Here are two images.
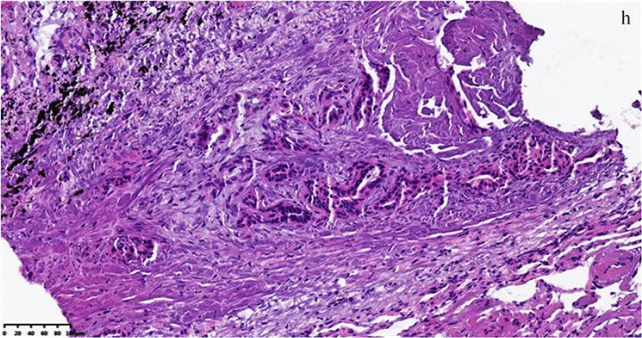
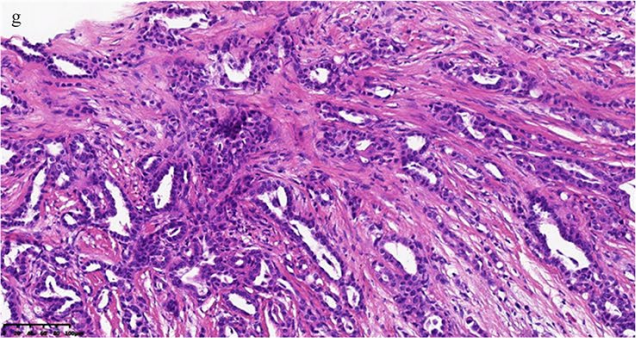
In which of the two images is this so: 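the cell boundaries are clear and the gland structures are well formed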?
The second image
